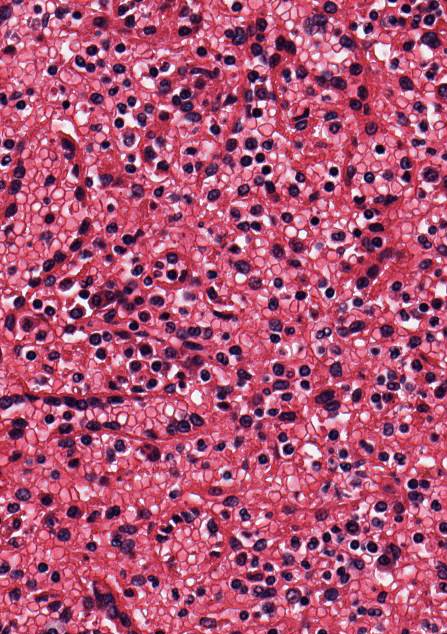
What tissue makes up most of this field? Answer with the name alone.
red pulp of the spleen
